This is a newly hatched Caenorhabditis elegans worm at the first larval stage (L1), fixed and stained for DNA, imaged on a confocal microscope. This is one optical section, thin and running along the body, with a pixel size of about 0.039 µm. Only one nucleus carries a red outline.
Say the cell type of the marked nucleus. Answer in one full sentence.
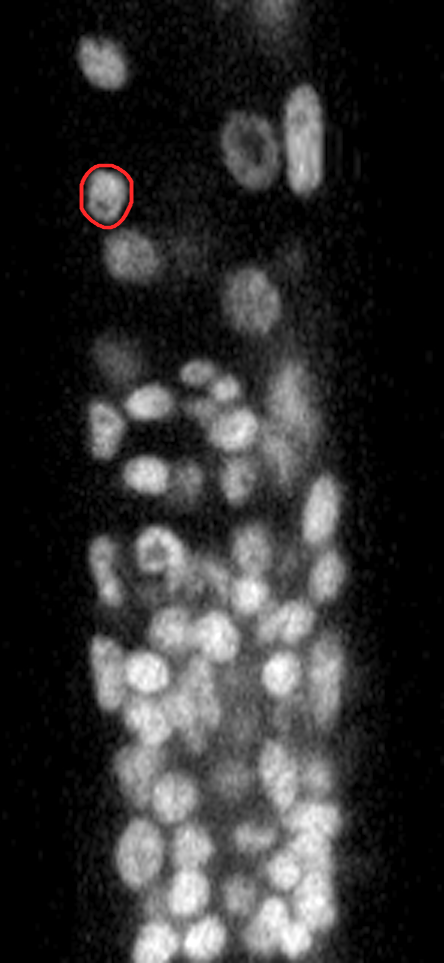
The cell with the marked nucleus is a body wall muscle cell.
